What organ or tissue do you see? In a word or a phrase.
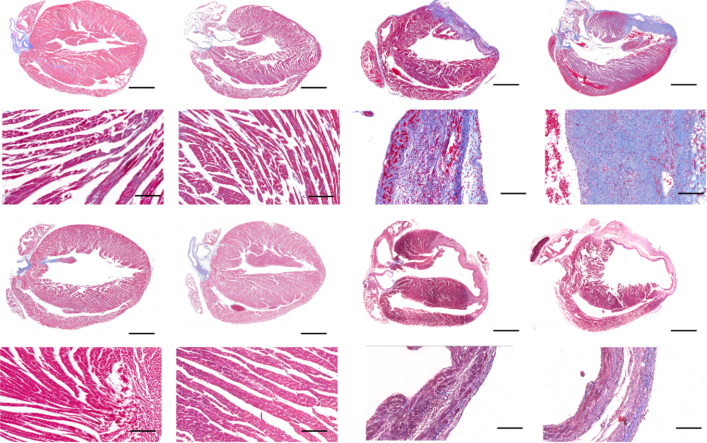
Heart.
